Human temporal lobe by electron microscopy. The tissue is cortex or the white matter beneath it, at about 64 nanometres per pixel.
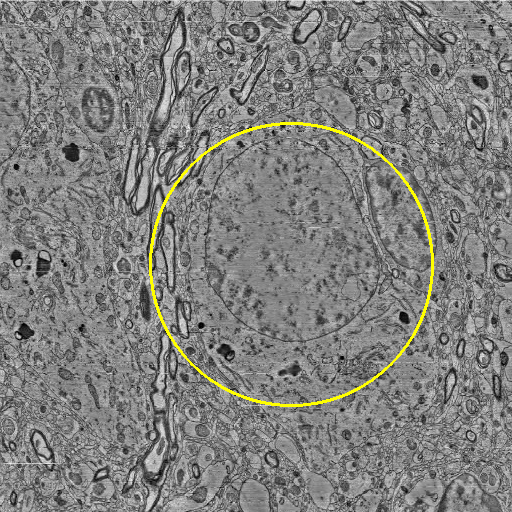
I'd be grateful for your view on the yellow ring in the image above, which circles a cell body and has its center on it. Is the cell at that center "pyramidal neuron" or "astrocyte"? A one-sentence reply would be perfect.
The cell at the center of the yellow ring is a pyramidal neuron.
